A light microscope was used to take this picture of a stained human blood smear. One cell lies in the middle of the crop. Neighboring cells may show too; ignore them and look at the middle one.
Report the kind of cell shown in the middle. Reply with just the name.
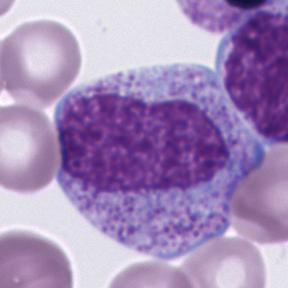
promyelocyte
